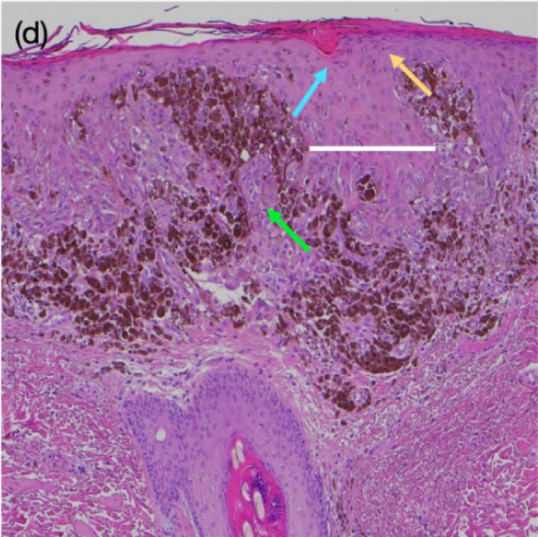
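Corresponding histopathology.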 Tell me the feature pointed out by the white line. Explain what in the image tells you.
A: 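The white line spans a wide downward projection of the epidermis. The epidermis is thick between the pigmented cell masses.
Answer: broadened retes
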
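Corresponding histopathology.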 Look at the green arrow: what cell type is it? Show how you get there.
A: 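Large sheets of cells laden with dark brown pigment in the upper dermis. Plump cells with ample cytoplasm lie among the pigmented ones. The aggregates run together into confluent masses.
Answer: pigmented and non‐pigmented epithelioid melanocytes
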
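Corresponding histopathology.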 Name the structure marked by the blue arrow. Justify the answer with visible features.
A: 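Keratin‐filled surface dells. A small cup-shaped depression in the skin surface. The depression is filled with a dense pink plug continuous with the surface layer.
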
